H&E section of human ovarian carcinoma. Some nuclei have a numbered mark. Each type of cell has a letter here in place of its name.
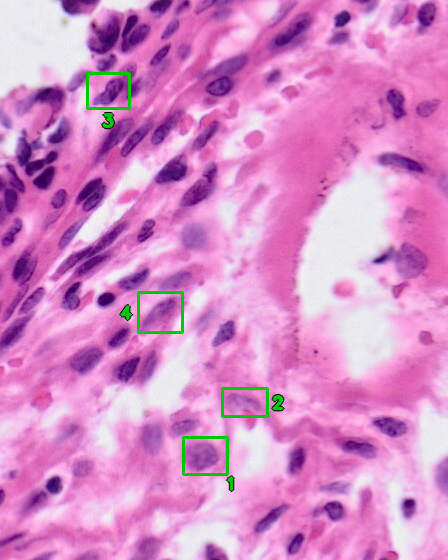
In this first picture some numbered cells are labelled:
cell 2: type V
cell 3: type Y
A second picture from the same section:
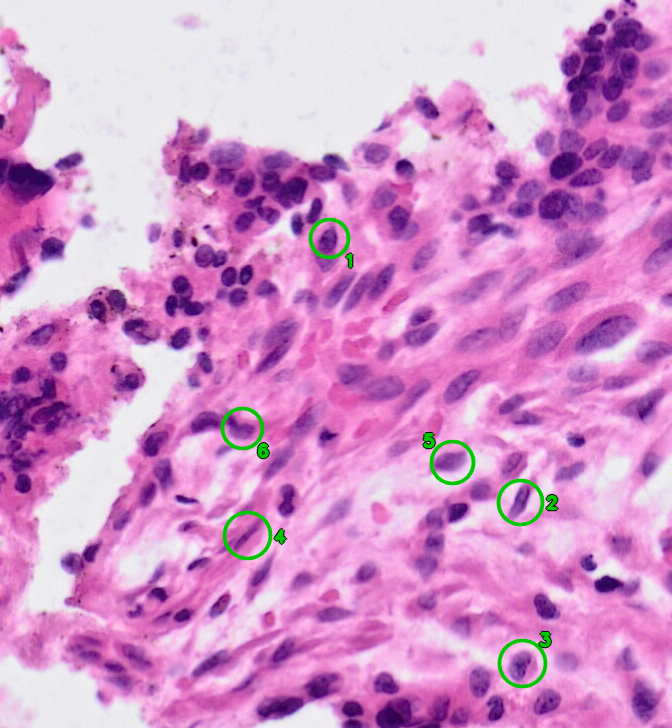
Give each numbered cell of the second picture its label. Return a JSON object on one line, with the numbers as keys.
{"1": "type Y", "2": "type V", "3": "type Y", "4": "type V", "5": "type V", "6": "type V"}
